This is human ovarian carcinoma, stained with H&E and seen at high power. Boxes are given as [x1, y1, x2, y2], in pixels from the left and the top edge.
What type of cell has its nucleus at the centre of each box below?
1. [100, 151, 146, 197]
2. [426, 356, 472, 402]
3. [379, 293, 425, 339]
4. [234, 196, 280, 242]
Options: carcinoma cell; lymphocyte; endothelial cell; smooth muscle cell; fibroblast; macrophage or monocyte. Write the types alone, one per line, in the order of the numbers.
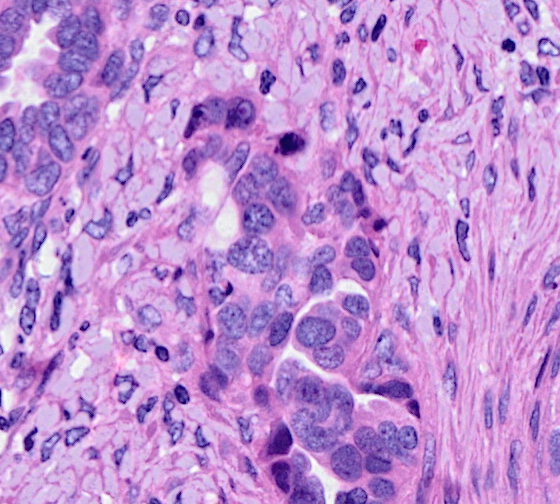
fibroblast
fibroblast
fibroblast
carcinoma cell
